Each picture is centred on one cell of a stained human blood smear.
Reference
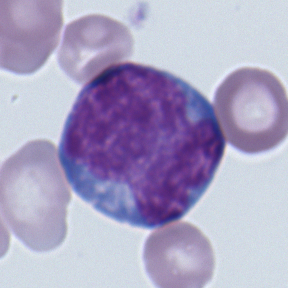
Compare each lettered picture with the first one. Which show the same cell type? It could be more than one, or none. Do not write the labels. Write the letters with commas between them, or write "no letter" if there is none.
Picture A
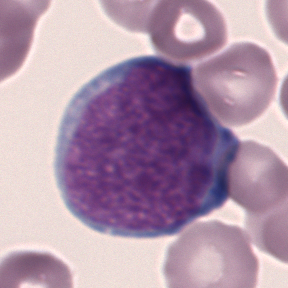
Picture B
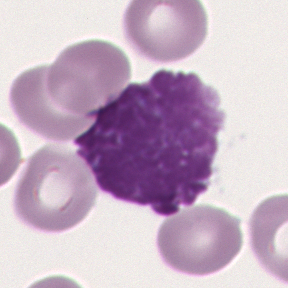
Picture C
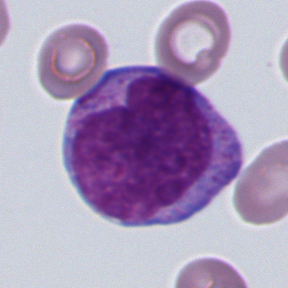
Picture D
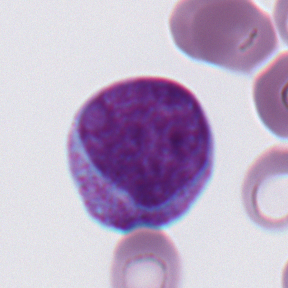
A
